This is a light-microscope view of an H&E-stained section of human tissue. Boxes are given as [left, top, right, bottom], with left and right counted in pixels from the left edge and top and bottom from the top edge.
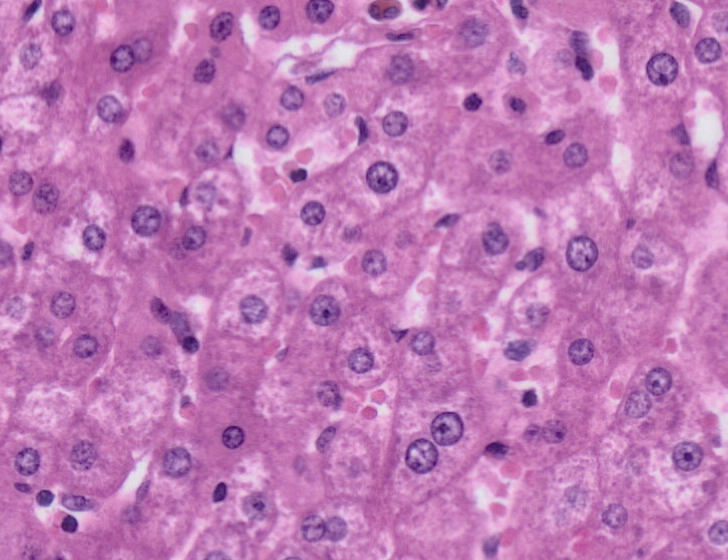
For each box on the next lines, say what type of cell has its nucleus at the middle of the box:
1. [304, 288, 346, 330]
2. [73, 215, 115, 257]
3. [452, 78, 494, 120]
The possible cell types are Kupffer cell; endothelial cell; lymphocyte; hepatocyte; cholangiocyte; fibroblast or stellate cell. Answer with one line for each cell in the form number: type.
1: hepatocyte
2: hepatocyte
3: lymphocyte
